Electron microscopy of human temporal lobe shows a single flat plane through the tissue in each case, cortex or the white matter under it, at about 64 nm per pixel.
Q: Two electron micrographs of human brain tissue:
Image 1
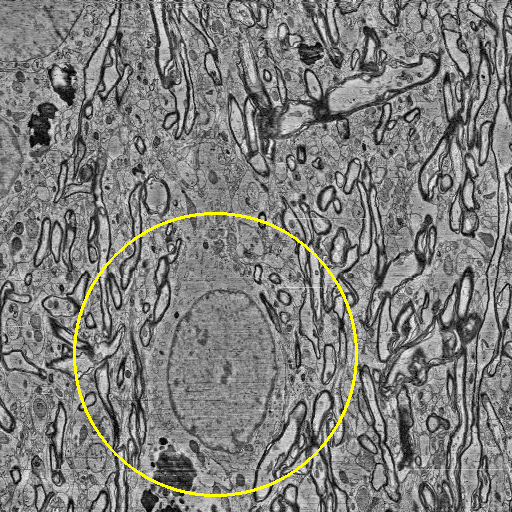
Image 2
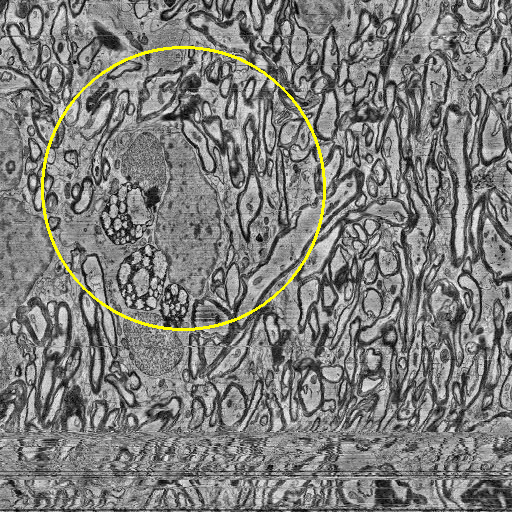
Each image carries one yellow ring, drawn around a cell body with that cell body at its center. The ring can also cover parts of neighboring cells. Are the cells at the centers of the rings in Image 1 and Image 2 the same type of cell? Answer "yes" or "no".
yes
